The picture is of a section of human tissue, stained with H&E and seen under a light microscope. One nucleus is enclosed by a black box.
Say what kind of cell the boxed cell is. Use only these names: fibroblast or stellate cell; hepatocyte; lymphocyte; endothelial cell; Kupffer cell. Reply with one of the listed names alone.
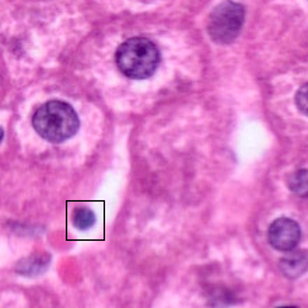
lymphocyte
